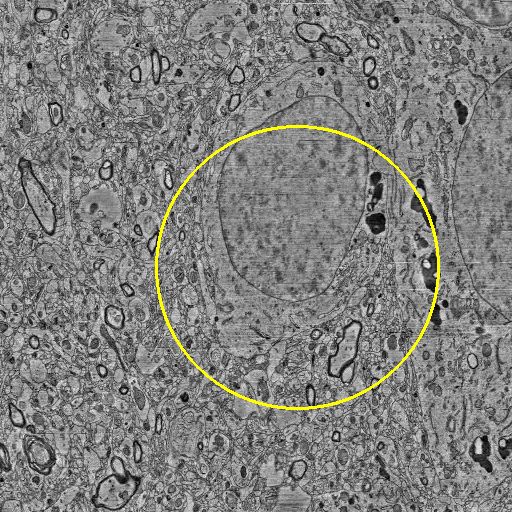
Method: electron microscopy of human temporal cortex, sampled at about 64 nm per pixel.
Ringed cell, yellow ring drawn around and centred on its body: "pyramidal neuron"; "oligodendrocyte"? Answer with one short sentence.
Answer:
This ringed cell is a pyramidal neuron.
